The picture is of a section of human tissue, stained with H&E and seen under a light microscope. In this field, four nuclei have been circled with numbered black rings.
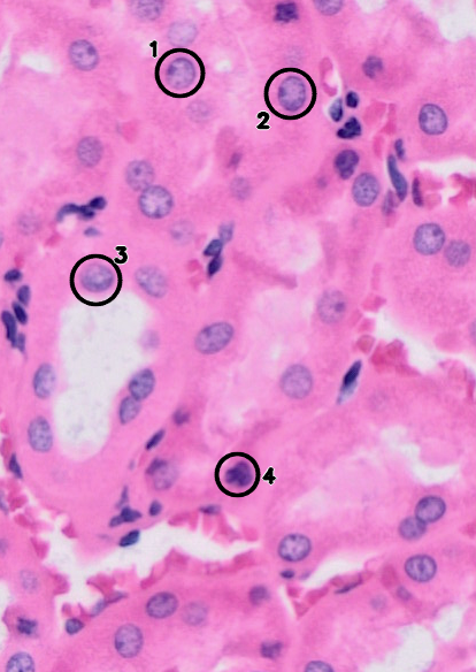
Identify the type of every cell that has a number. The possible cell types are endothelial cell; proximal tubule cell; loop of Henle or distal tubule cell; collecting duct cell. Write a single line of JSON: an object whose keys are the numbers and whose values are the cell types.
{"1": "proximal tubule cell", "2": "proximal tubule cell", "3": "loop of Henle or distal tubule cell", "4": "proximal tubule cell"}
